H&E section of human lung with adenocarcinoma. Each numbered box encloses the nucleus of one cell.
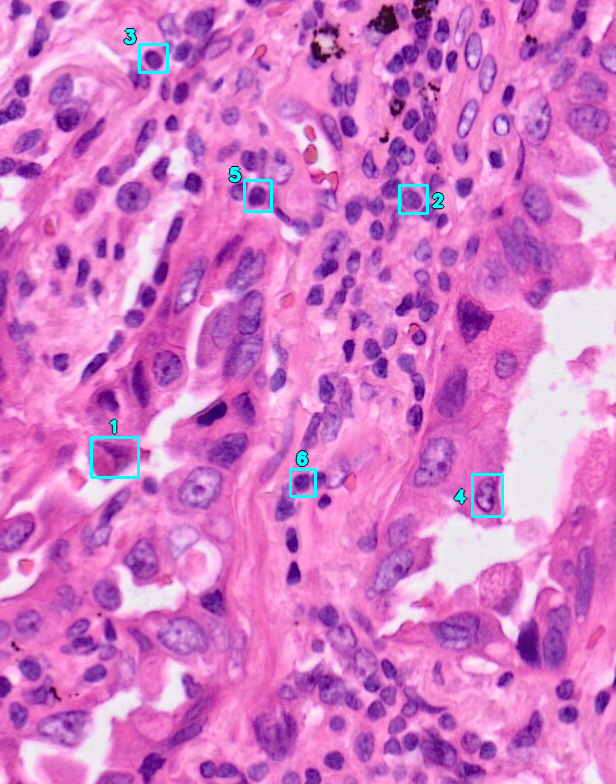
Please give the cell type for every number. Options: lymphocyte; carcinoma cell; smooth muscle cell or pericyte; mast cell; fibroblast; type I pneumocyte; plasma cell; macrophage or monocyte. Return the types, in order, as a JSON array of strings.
["carcinoma cell", "lymphocyte", "lymphocyte", "macrophage or monocyte", "lymphocyte", "lymphocyte"]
